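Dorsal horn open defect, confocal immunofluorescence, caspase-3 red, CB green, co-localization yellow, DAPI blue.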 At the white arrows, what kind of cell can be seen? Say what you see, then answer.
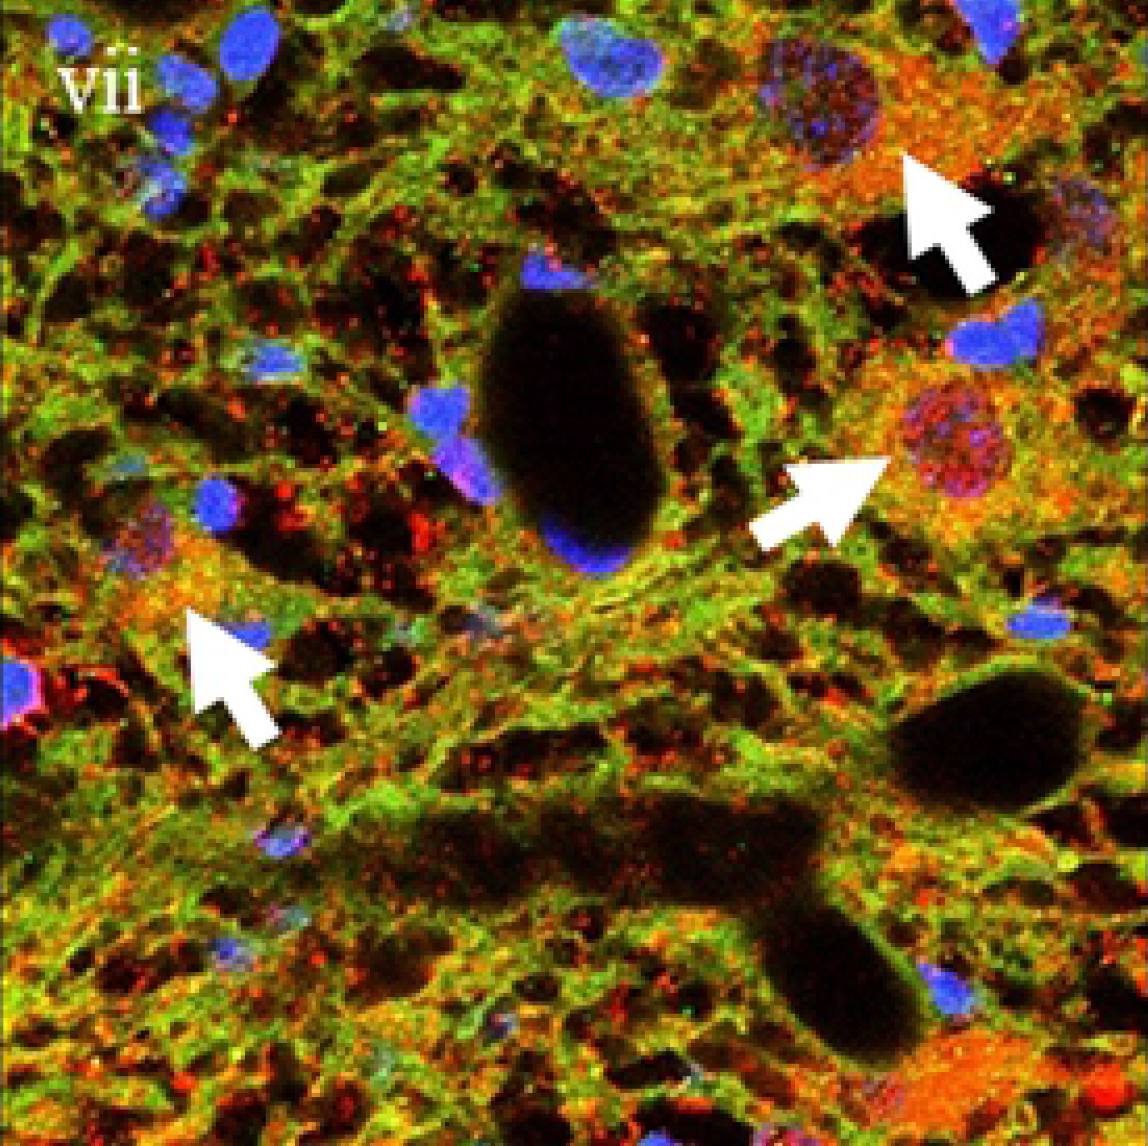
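The arrows point to large round cell bodies with big, pale, rounded nuclei. These cell bodies are much larger than the small, bright blue nuclei scattered around them.
Hence: neurons.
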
